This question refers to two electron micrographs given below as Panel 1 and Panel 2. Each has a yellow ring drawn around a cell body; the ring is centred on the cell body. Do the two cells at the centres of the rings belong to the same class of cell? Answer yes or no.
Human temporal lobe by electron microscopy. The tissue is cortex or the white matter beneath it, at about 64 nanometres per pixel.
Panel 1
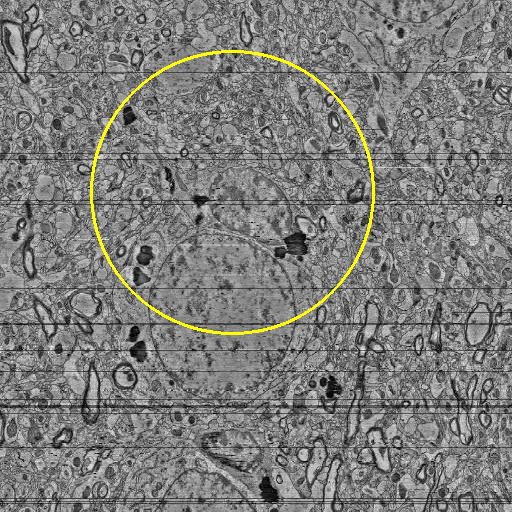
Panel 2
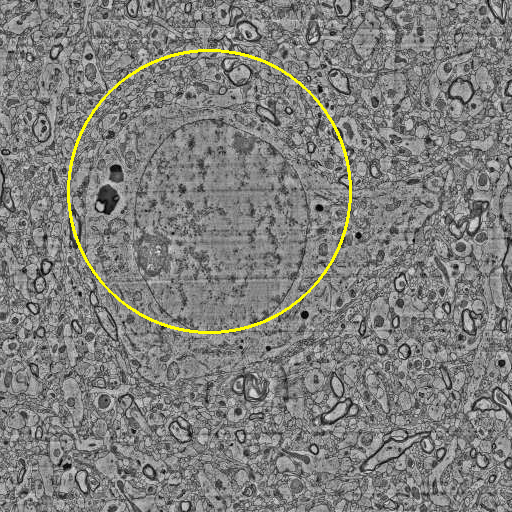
no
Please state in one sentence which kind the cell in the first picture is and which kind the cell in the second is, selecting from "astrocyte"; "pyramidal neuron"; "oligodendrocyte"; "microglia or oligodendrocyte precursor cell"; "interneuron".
The first ringed cell is an oligodendrocyte, the second ringed cell a pyramidal neuron.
